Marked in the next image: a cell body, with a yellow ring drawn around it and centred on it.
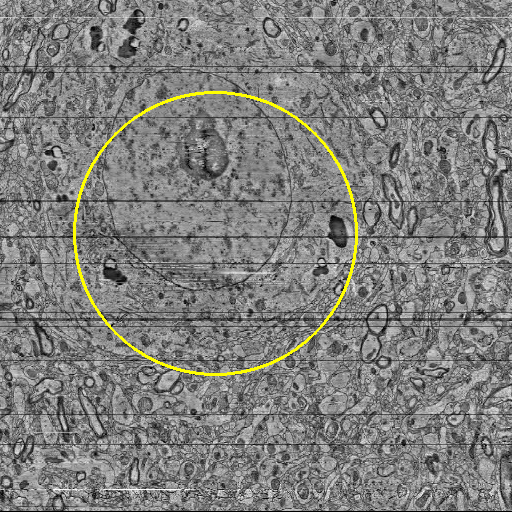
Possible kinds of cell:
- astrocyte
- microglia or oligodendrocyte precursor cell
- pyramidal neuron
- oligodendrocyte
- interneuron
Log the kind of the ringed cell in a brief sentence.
The ringed cell body is that of a pyramidal neuron.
